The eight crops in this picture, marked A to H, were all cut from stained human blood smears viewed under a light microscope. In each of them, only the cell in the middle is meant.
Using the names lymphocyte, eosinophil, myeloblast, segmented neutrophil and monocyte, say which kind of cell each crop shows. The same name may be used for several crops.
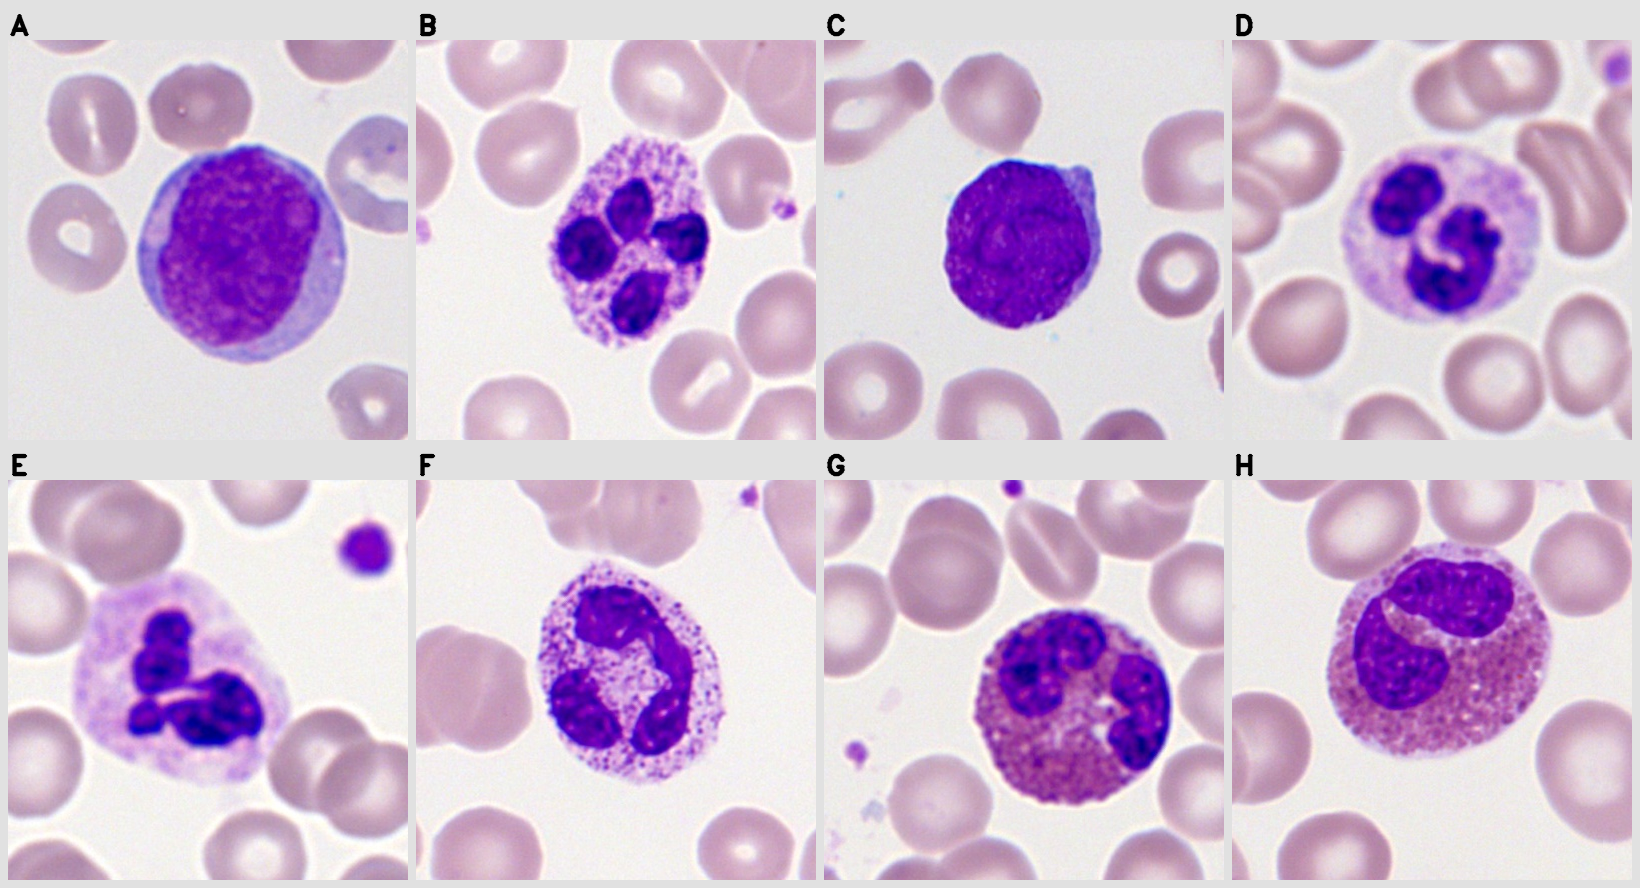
A: myeloblast
B: segmented neutrophil
C: myeloblast
D: segmented neutrophil
E: segmented neutrophil
F: segmented neutrophil
G: eosinophil
H: eosinophil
